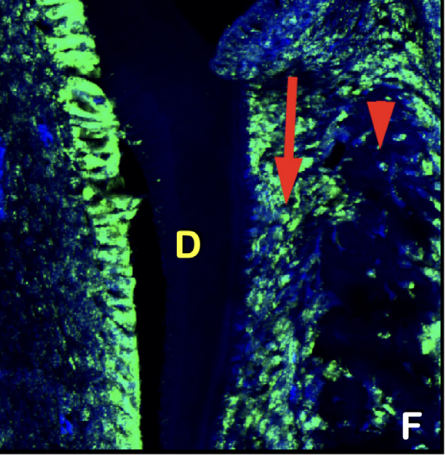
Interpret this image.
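A broad dark acellular band of dentin runs down the middle of the field, with a row of elongated, strongly green cells lining its left side. To the right of the dentin lies the periodontal ligament, a band of elongated green cells, and beyond it the alveolar bone with more scattered cells.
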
